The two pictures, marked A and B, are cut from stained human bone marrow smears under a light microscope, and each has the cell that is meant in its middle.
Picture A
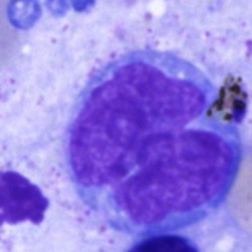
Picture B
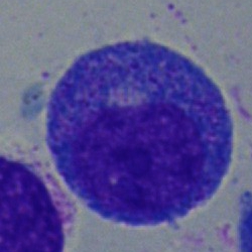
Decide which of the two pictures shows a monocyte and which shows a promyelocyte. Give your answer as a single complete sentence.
Picture B shows a promyelocyte, while picture A shows a monocyte.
